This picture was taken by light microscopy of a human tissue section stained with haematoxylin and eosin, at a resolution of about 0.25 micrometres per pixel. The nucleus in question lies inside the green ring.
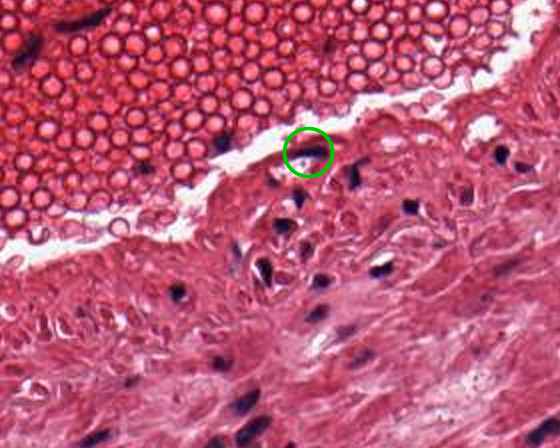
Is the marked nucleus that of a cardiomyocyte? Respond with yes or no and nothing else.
no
